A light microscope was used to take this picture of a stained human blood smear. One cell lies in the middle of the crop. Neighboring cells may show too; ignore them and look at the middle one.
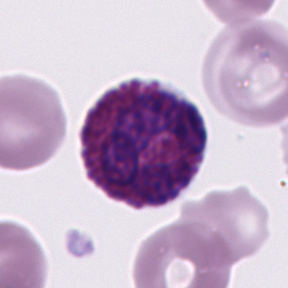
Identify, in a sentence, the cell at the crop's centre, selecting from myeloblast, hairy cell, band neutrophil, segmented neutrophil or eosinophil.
As for the cell in the middle, it is an eosinophil.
